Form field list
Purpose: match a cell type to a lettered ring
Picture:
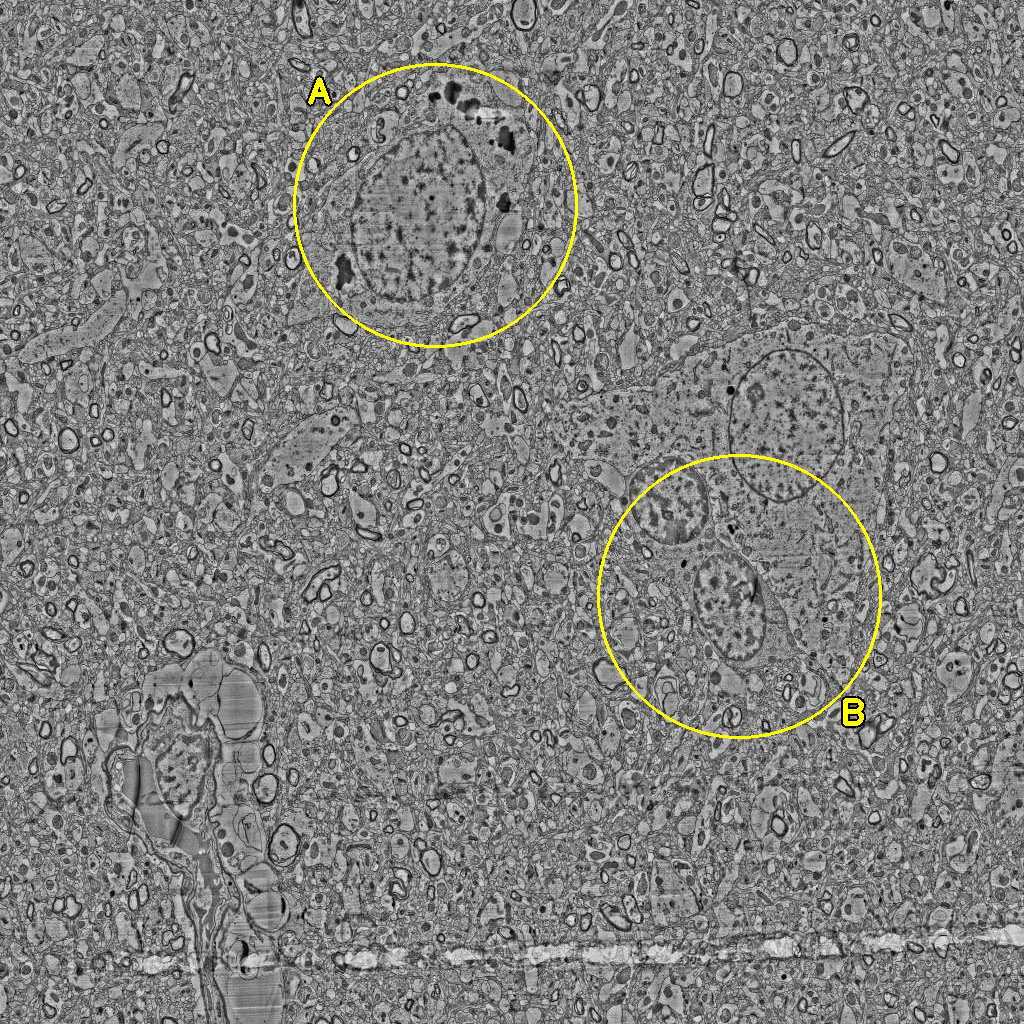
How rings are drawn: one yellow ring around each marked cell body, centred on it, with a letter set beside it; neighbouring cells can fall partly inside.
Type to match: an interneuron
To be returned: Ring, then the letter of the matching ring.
Ring A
